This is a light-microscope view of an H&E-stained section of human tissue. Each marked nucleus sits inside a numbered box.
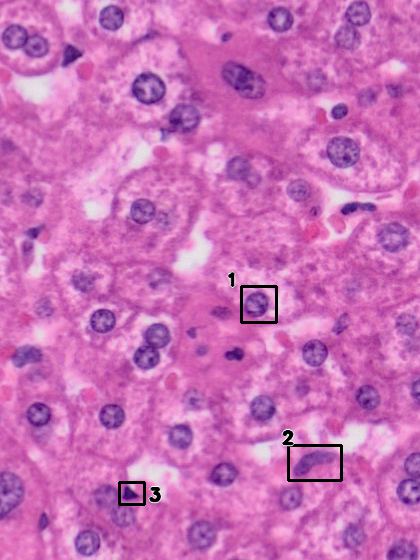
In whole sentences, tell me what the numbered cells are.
Cell 1 is a hepatocyte, cell 2 is a Kupffer cell and cell 3 is a fibroblast or stellate cell.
